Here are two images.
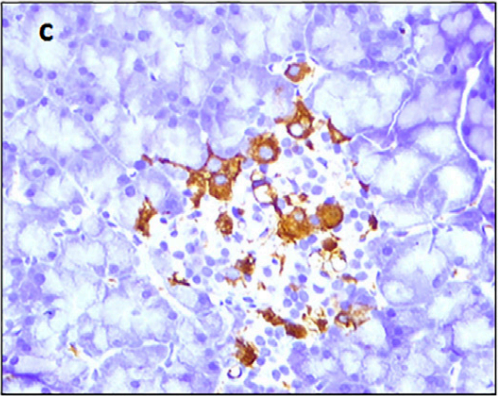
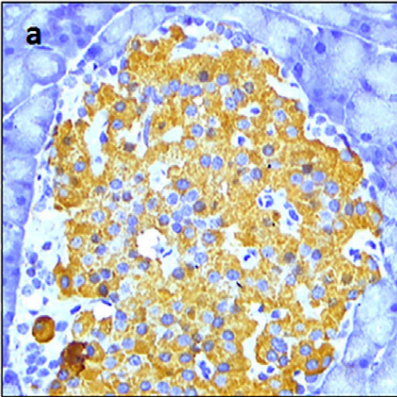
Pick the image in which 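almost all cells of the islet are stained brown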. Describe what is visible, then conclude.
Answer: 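First image: only a few scattered brown cells in a mostly pale cluster. Second image: brown stain fills nearly the whole rounded cluster.
Answer: the second image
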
